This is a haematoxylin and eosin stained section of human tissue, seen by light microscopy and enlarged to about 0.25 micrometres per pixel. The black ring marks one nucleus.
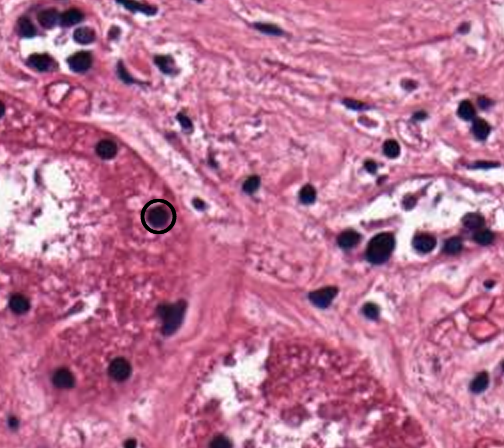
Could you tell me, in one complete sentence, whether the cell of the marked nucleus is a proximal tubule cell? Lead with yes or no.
Yes, the marked nucleus is housed in a proximal tubule cell.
